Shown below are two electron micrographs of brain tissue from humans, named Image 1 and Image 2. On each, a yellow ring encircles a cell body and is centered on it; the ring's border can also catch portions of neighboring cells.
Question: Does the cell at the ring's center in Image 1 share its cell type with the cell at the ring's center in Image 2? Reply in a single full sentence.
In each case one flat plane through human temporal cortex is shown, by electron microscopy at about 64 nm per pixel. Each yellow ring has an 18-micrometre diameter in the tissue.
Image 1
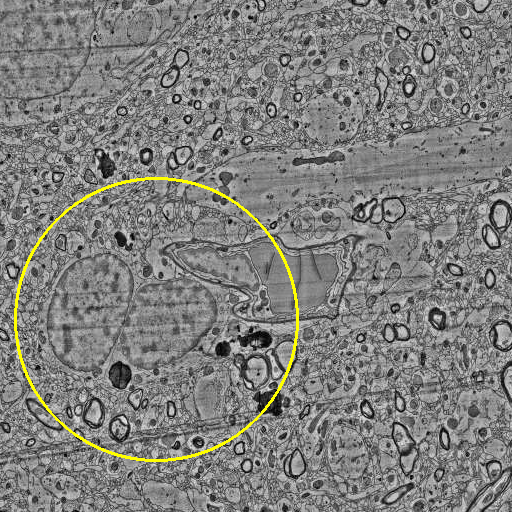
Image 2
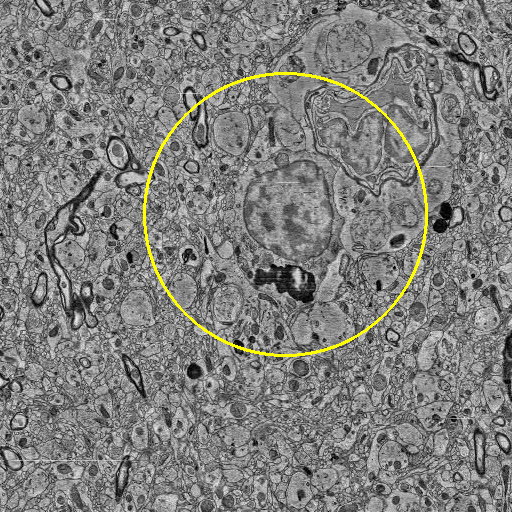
Yes, the two cells at the ring centers, in Image 1 and Image 2, share one cell type.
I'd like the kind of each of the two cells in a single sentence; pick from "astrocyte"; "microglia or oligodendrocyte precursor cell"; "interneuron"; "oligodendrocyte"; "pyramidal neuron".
In each of the two pictures, the ringed cell is an oligodendrocyte.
